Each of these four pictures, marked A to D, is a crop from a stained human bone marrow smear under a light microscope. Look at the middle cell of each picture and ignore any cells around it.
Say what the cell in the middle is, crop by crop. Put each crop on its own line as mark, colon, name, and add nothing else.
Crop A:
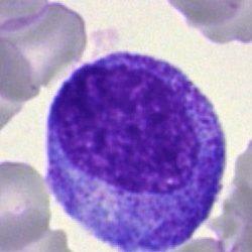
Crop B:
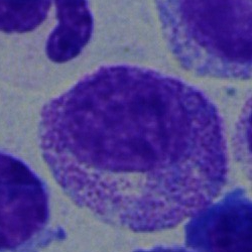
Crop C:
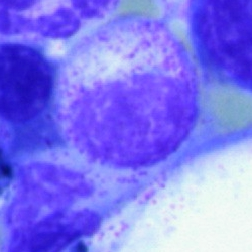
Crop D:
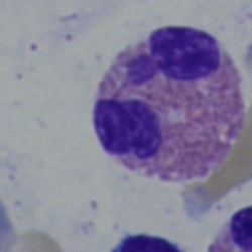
A: promyelocyte
B: myelocyte
C: myelocyte
D: eosinophil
